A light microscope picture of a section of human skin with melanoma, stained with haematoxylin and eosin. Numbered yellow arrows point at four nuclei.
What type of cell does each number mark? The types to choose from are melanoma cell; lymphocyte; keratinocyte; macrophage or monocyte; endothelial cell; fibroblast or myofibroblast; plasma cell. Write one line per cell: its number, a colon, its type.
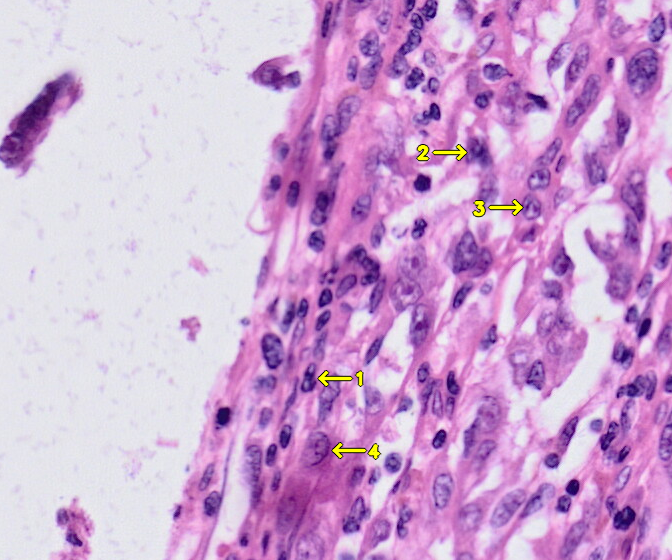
1: lymphocyte
2: melanoma cell
3: melanoma cell
4: melanoma cell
